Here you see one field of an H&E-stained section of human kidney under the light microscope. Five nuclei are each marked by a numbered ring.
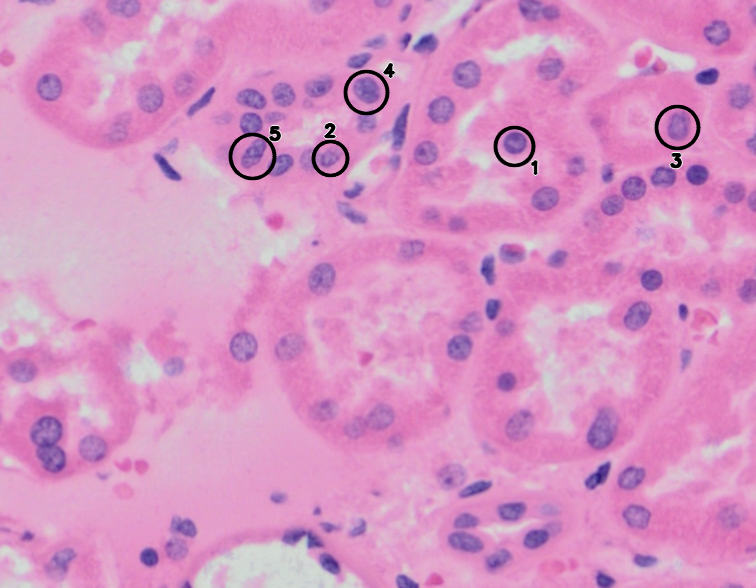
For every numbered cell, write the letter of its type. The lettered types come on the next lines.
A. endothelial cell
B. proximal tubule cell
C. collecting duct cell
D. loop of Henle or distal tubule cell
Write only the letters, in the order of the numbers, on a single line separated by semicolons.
B; C; B; C; C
